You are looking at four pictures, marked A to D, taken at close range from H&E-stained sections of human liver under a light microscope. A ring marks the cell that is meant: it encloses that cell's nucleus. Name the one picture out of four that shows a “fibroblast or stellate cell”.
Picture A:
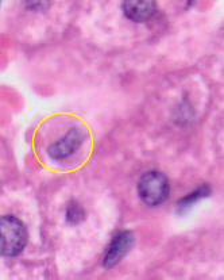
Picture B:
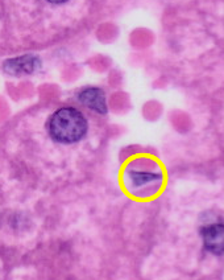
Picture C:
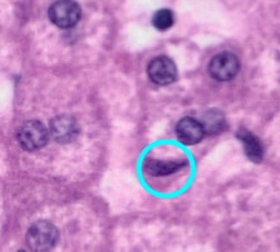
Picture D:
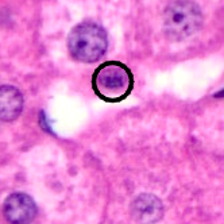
C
